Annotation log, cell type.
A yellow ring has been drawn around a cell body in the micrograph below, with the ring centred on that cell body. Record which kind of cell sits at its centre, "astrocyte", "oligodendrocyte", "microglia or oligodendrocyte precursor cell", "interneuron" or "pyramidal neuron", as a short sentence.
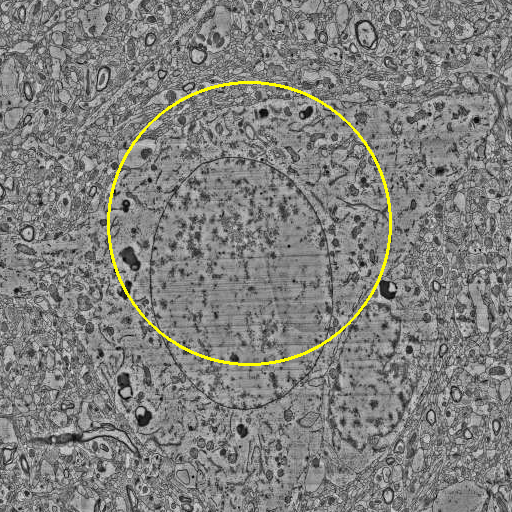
The cell at the centre of this ring is a pyramidal neuron.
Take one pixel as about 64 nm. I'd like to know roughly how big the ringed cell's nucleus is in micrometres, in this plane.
Roughly 16 micrometres by 13 micrometres, in this plane.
